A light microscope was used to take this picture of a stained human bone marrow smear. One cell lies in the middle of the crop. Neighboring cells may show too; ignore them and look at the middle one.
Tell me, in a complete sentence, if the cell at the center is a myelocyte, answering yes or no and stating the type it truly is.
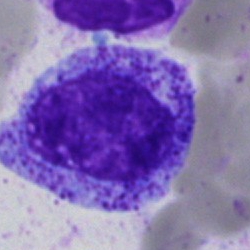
Yes, at the centre of the crop lies a myelocyte.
